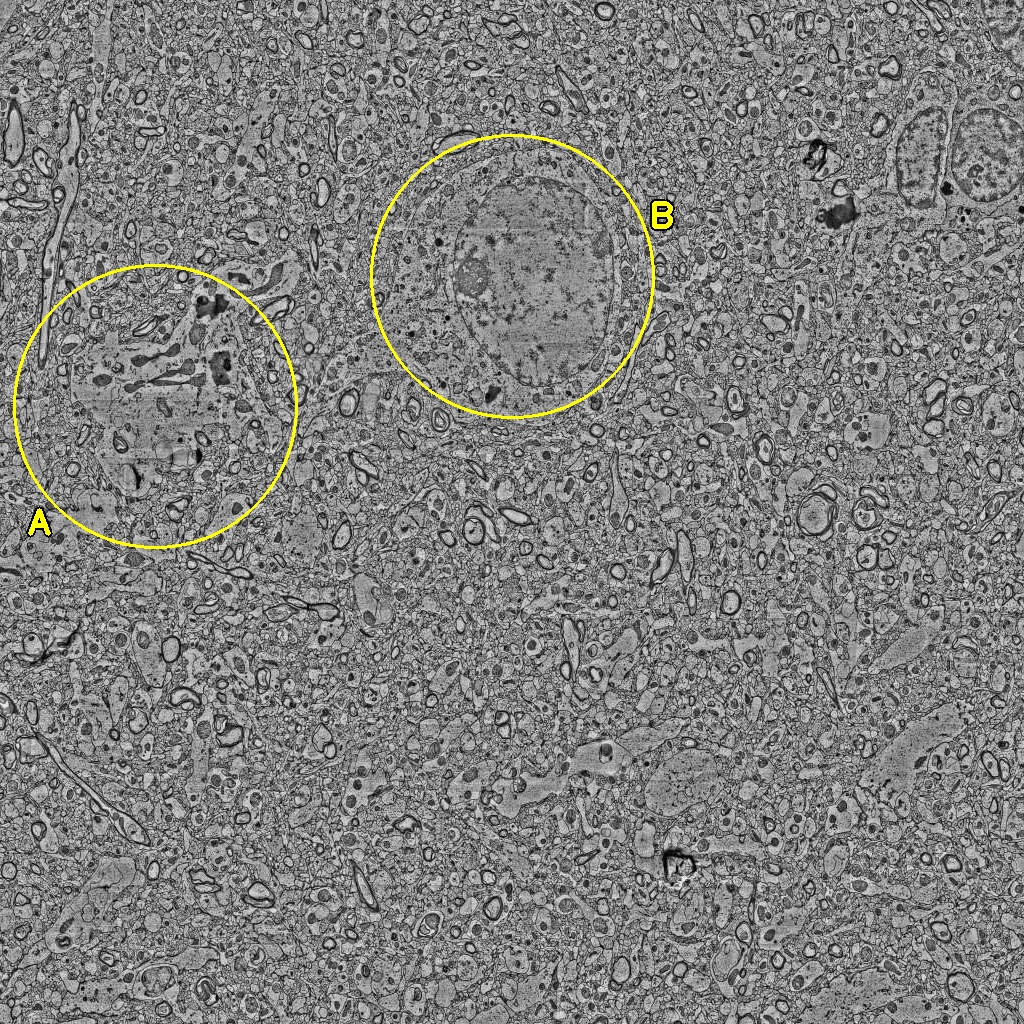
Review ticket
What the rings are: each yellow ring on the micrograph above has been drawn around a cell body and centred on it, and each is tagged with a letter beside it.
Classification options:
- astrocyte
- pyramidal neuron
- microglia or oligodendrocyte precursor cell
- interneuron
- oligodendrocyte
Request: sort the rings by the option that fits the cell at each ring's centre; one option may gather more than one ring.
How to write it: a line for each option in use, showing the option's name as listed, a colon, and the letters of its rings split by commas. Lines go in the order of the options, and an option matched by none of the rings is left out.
astrocyte: A
pyramidal neuron: B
